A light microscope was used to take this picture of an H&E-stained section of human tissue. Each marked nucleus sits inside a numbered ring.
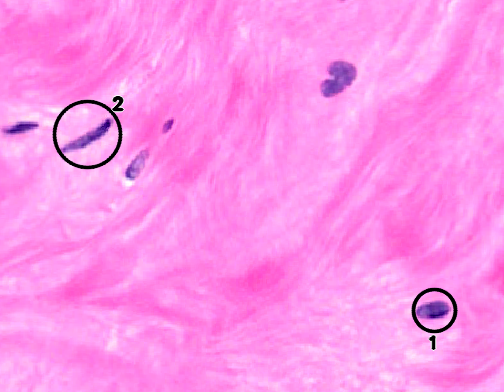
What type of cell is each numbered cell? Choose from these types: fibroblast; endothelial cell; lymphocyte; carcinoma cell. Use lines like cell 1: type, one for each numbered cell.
cell 1: lymphocyte
cell 2: fibroblast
